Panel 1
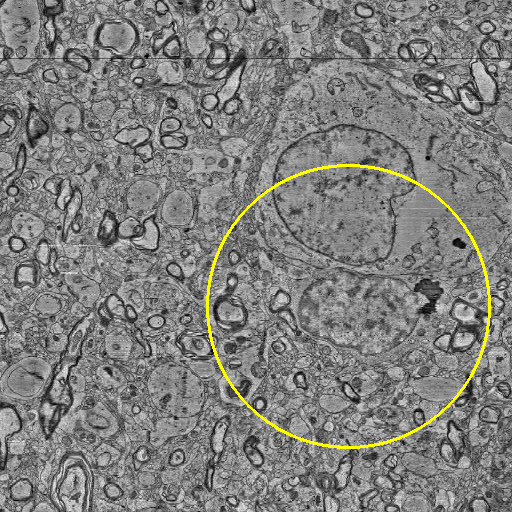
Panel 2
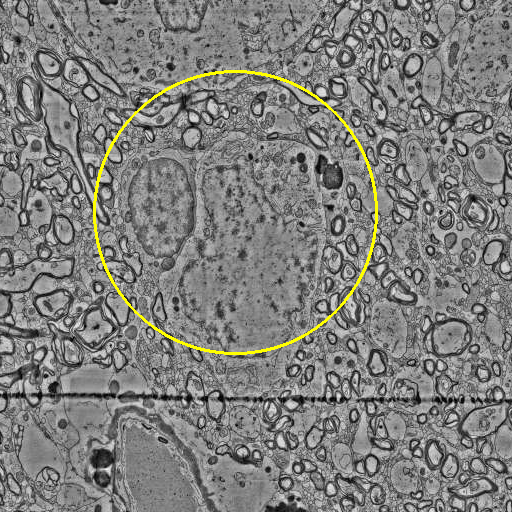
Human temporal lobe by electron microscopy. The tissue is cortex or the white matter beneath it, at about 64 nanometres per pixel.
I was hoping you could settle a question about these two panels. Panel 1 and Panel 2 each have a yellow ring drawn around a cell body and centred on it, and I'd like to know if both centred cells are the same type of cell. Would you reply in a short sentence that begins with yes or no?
No, they are two types of cell.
